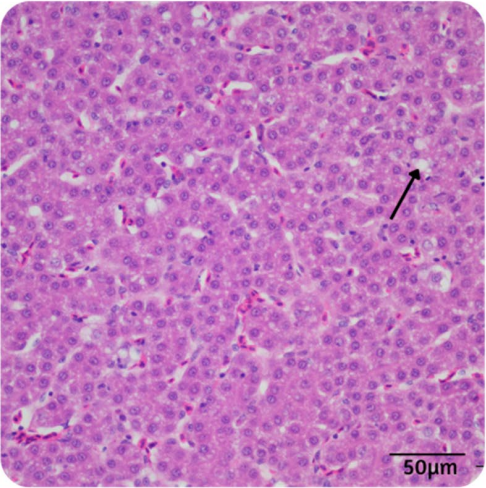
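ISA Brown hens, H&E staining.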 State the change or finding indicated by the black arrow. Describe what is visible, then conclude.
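Steatosis. The arrow points at a small round clear vacuole among otherwise pink, compact cells. Such vacuoles are few in this field.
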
